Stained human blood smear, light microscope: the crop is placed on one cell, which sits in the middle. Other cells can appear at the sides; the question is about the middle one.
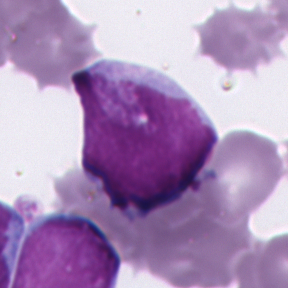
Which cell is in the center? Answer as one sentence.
Centrally within this crop lies a blast.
